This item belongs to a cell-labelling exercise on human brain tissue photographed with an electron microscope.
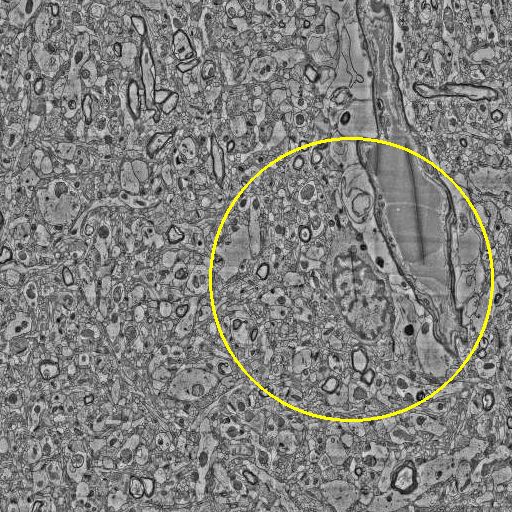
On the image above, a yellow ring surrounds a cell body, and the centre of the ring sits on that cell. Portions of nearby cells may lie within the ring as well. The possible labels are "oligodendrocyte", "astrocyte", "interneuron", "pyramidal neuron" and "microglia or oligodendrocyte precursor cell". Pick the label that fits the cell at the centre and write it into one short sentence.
This cell should be labelled as an oligodendrocyte.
